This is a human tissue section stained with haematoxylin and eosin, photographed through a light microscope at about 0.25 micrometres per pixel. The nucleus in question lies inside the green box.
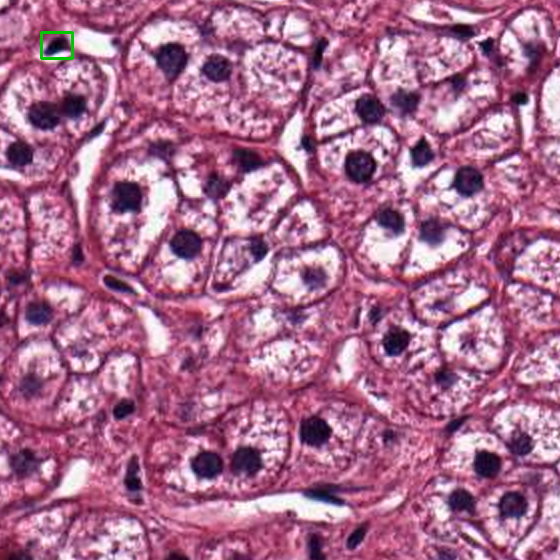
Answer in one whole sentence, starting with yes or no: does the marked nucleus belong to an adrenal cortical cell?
No, it is a supporting cell whose nucleus is marked, not an adrenal cortical cell.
